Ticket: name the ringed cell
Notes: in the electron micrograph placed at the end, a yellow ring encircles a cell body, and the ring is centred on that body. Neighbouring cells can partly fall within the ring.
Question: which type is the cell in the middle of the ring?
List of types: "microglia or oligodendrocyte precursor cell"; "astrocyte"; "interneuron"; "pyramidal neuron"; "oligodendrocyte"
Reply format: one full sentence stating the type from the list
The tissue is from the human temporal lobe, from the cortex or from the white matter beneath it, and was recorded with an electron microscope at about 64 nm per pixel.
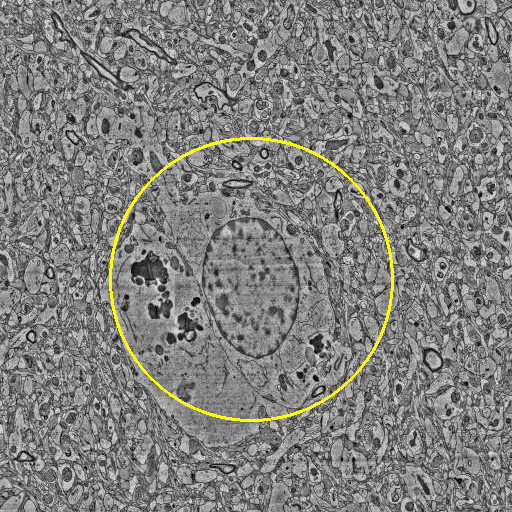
The cell sitting at the centre of the yellow ring is an astrocyte.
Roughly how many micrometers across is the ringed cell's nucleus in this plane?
The nucleus is approximately 9 micrometers long by 6 micrometers wide in this plane.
